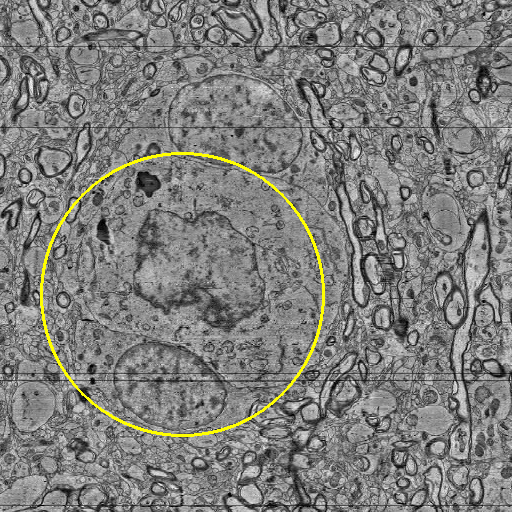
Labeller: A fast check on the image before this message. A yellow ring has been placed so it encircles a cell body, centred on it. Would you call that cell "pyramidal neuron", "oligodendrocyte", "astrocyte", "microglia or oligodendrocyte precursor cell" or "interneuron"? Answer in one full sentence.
In this image, a pyramidal neuron is the cell on which the yellow ring is centred.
